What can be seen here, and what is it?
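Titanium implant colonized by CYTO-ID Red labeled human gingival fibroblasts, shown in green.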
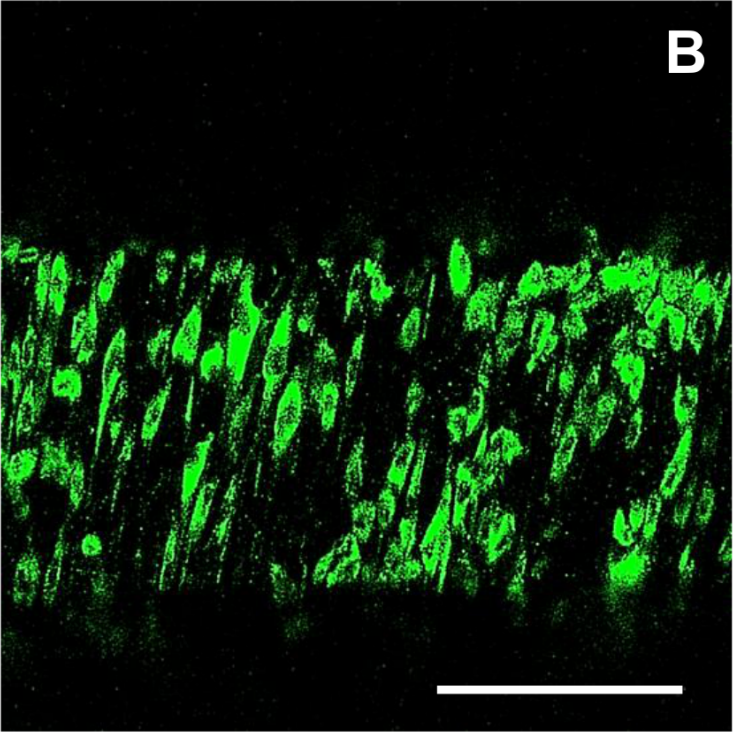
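The cells are mostly elongated and spindle-shaped, some rounder or oval, and they lie closely packed with their long axes running roughly in the same oblique direction. Fine green speckles are scattered between and around the cells.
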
